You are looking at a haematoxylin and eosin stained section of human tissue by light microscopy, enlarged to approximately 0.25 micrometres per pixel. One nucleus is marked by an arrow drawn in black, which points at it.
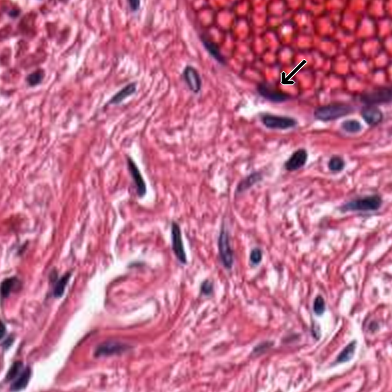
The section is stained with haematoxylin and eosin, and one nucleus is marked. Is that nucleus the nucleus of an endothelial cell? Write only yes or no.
yes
